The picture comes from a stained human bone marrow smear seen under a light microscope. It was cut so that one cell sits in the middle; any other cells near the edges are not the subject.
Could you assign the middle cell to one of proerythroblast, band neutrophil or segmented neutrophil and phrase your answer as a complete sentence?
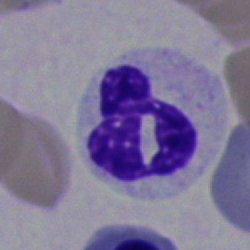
The cell sitting right in the middle is a segmented neutrophil.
